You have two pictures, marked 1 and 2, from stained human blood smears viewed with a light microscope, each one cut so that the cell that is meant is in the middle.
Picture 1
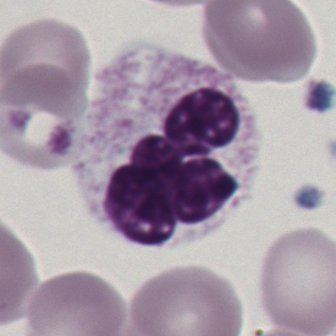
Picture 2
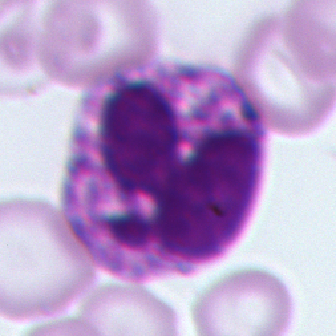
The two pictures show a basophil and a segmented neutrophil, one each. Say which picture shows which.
1: segmented neutrophil
2: basophil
